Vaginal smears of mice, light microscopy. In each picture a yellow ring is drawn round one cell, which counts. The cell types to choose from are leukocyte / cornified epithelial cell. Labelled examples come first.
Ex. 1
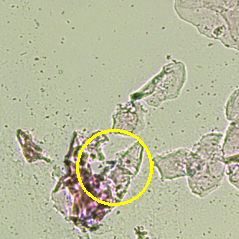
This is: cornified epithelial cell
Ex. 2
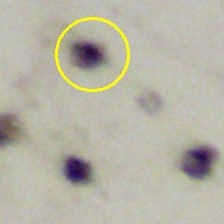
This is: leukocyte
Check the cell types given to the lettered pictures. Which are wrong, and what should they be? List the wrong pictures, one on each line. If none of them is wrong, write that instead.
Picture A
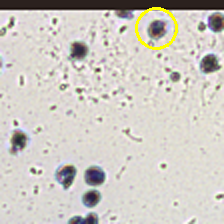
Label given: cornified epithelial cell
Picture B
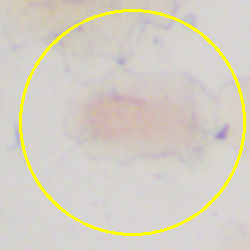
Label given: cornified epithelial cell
A: leukocyte, not cornified epithelial cell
